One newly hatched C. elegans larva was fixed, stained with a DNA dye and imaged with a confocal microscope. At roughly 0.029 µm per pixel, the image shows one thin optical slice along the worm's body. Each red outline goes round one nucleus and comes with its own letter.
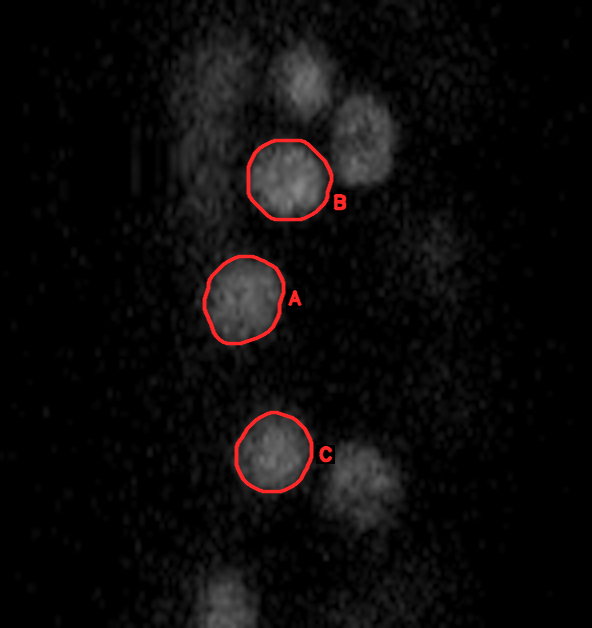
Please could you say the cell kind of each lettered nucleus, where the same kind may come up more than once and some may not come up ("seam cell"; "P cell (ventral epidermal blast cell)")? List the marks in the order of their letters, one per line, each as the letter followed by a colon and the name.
A: P cell (ventral epidermal blast cell)
B: seam cell
C: seam cell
